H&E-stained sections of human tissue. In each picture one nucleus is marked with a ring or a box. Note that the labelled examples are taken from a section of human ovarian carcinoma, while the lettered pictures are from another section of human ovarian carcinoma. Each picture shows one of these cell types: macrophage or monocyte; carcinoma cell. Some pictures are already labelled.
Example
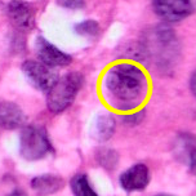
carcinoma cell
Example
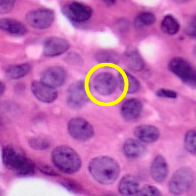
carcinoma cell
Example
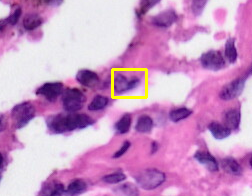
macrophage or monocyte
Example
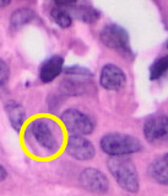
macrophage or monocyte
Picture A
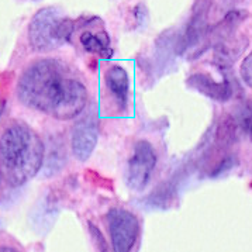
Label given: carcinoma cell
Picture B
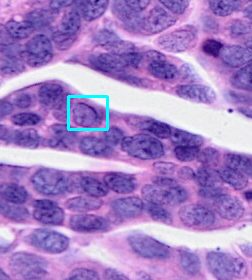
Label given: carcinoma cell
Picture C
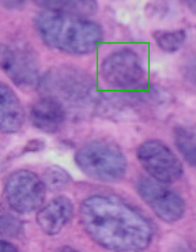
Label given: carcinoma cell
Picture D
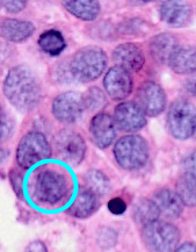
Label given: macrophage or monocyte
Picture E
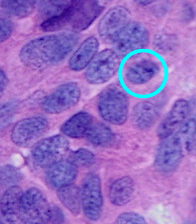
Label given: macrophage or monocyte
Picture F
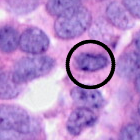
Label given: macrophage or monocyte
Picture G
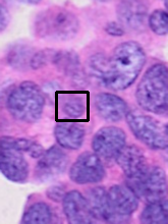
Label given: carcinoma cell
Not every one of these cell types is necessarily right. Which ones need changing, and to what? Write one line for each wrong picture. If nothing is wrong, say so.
Wrong: A (carcinoma cell); correct: macrophage or monocyte
Wrong: D (macrophage or monocyte); correct: carcinoma cell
